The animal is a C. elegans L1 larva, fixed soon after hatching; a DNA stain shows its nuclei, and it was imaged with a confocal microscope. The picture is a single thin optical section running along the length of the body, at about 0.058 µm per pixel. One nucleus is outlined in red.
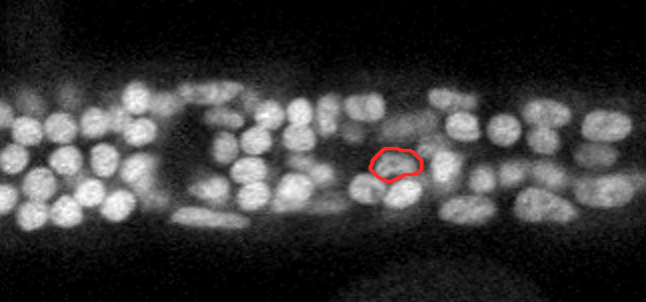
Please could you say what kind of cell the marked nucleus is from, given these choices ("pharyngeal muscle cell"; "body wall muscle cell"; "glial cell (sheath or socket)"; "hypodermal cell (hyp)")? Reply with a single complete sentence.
What is marked is the nucleus of a pharyngeal muscle cell.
